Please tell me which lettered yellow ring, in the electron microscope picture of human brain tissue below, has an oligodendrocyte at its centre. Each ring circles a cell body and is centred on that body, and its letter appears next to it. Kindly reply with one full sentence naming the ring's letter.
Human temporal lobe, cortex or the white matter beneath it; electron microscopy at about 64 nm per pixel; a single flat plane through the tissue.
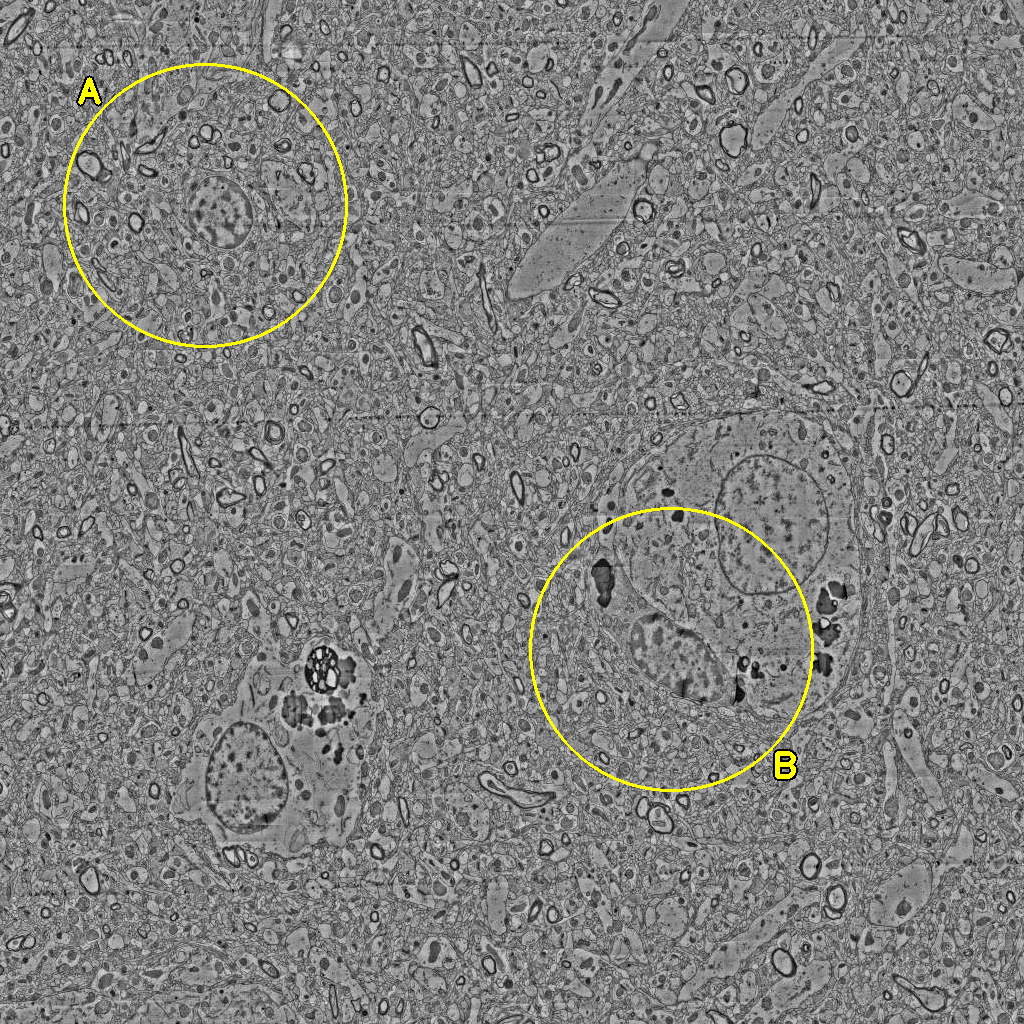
Ring B has the cell asked for at its centre.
